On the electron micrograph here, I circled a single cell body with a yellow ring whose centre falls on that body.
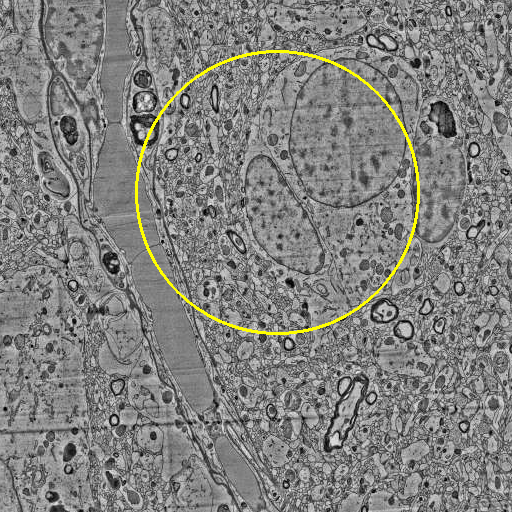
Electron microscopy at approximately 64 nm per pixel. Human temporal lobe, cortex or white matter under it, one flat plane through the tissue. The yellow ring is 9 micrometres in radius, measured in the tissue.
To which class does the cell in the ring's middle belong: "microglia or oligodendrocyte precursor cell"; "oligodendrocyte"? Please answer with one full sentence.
In this picture, the cell body circled at the ring's centre belongs to a microglial cell or oligodendrocyte precursor cell.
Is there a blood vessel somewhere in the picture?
Yes.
